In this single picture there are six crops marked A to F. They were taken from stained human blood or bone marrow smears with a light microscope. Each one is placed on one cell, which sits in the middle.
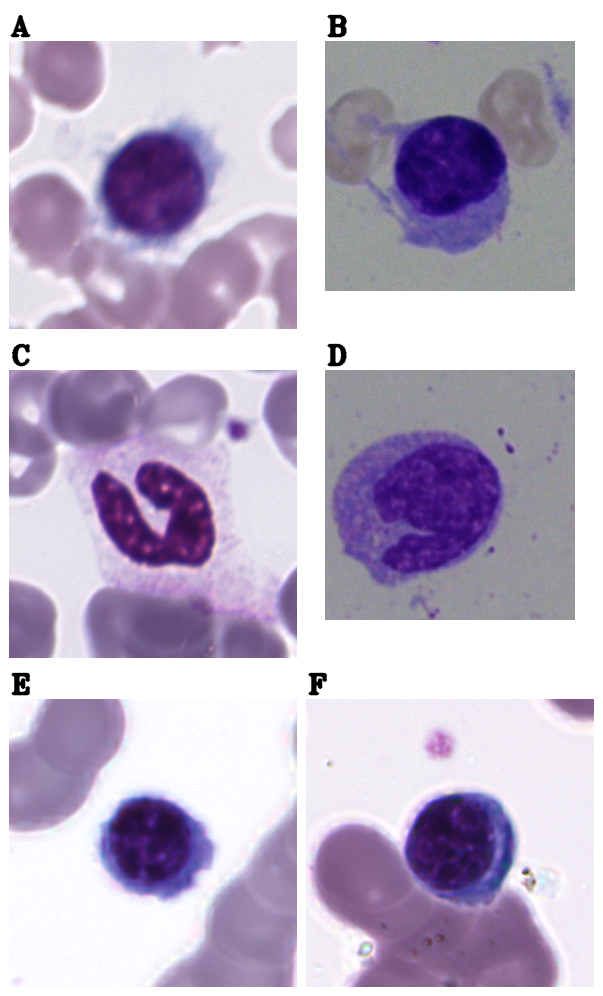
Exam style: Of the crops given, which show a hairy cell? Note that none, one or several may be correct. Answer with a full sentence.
The central cells are hairy cells in crops A and B.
